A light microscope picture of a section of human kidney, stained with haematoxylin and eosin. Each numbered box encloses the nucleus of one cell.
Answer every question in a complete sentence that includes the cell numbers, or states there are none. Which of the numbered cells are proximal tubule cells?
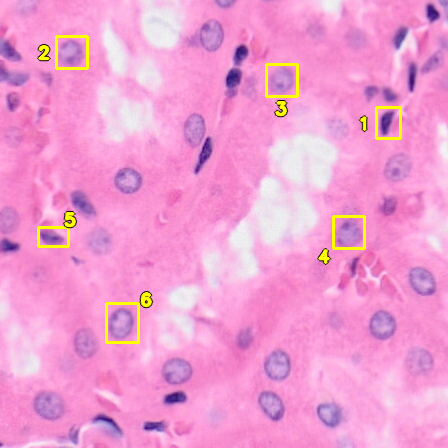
The cells labelled 2, 3, 4 and 6 in this section are proximal tubule cells.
